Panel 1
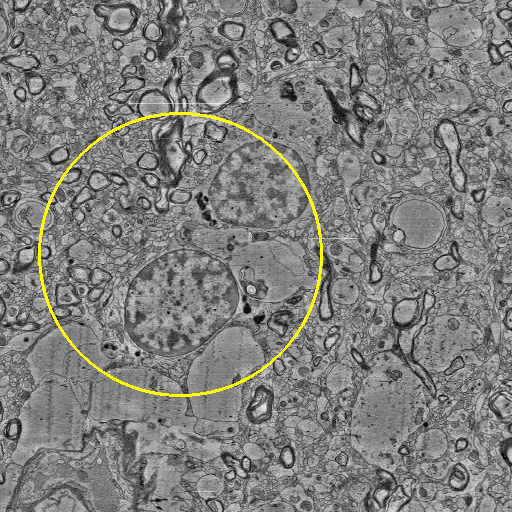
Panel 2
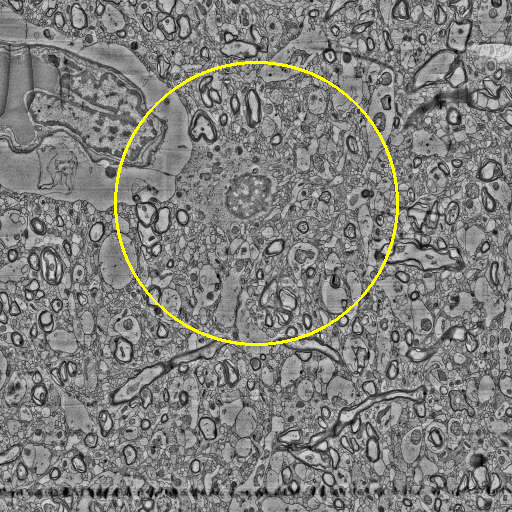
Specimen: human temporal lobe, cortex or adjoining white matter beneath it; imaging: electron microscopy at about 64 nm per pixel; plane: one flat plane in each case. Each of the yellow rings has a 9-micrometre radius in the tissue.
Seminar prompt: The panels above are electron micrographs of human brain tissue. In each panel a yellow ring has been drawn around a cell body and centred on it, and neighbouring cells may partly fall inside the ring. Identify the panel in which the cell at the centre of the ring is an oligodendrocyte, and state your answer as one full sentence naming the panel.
Panel 2 has it at the centre of its ring.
